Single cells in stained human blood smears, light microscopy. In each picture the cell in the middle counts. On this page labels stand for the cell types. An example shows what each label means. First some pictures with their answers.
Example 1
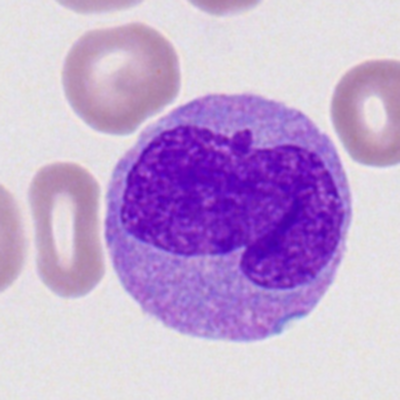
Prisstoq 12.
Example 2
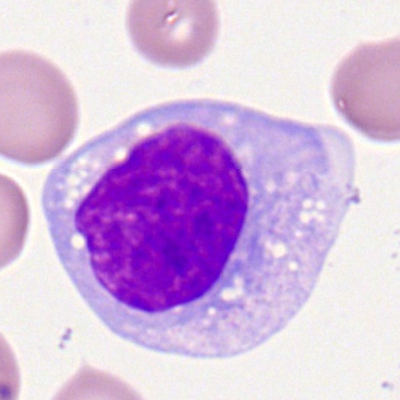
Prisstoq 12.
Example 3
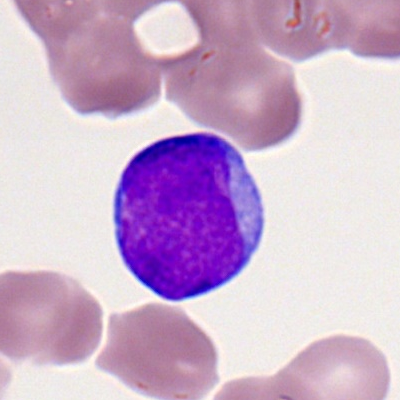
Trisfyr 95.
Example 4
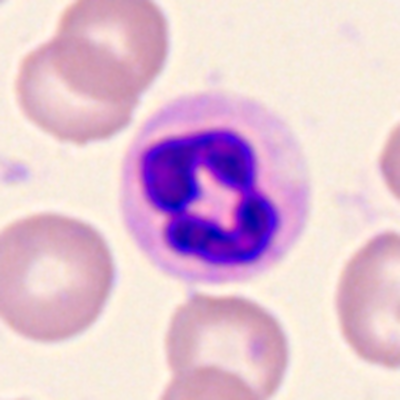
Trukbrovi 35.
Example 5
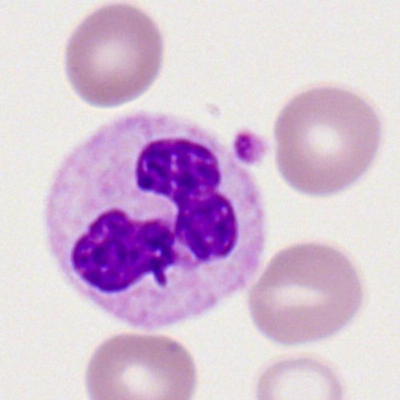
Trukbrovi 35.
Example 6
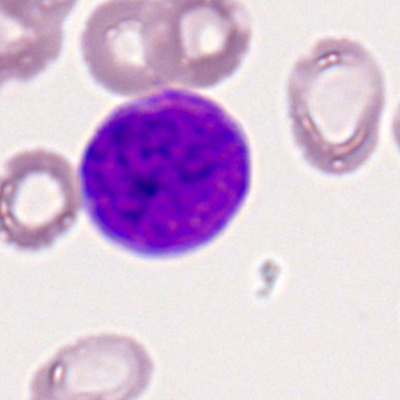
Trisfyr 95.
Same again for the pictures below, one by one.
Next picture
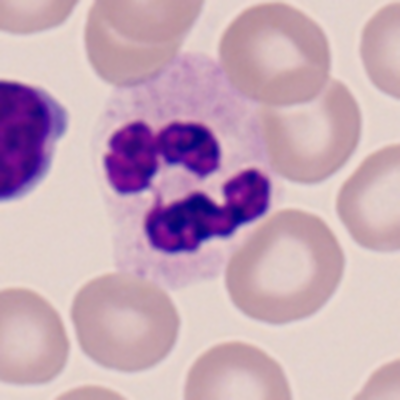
Trukbrovi 35.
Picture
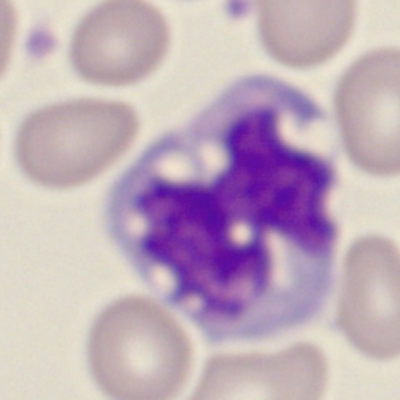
Prisstoq 12.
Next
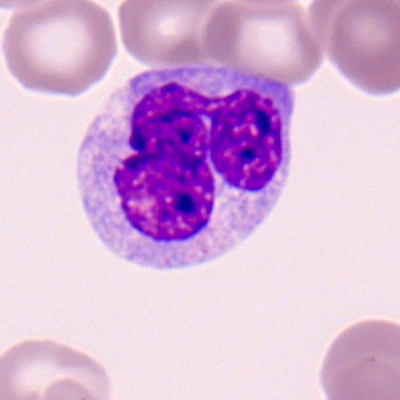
Prisstoq 12.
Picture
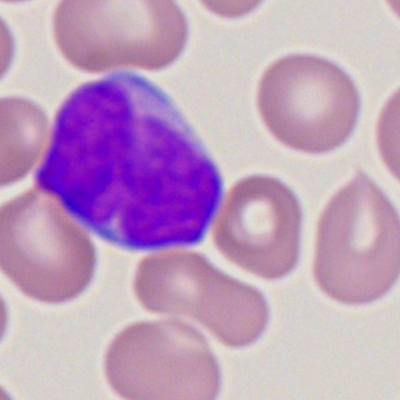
Trisfyr 95.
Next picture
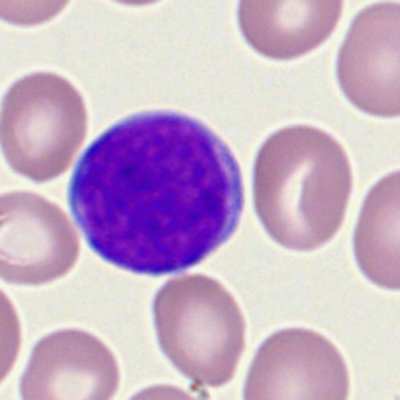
Trisfyr 95.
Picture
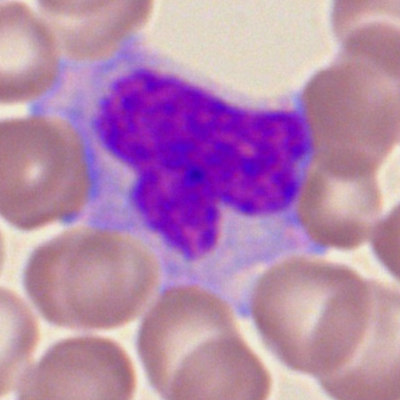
Prisstoq 12.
